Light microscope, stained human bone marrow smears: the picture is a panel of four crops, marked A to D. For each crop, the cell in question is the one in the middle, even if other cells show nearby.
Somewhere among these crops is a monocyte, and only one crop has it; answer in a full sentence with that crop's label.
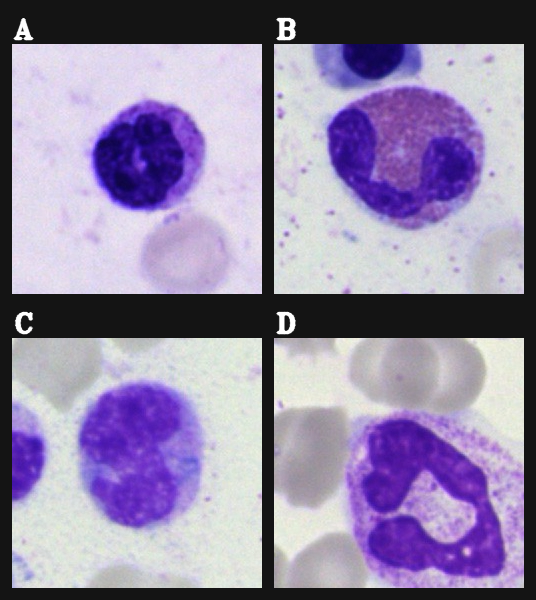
The crop marked C is the one that shows a monocyte.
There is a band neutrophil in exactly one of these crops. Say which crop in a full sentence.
Crop A is identified as the crop showing a band neutrophil.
